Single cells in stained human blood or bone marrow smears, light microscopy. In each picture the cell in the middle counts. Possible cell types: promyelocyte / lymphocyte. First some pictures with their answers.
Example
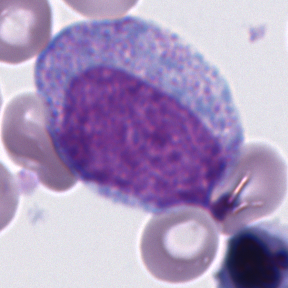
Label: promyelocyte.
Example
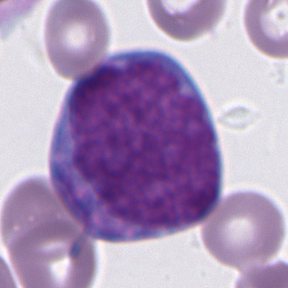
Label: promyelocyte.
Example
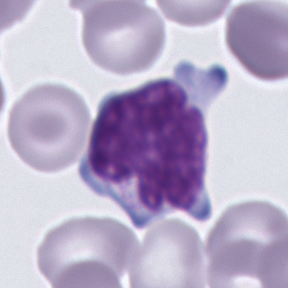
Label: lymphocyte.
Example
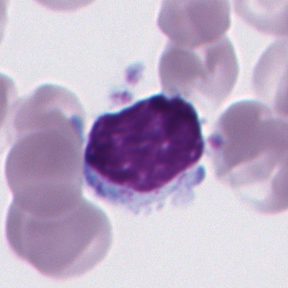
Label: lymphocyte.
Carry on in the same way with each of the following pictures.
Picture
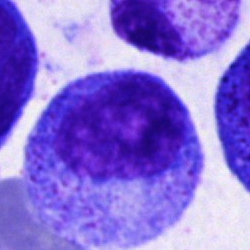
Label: promyelocyte.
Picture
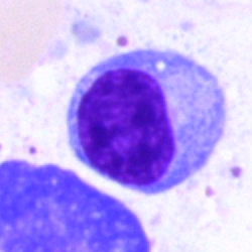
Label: lymphocyte.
